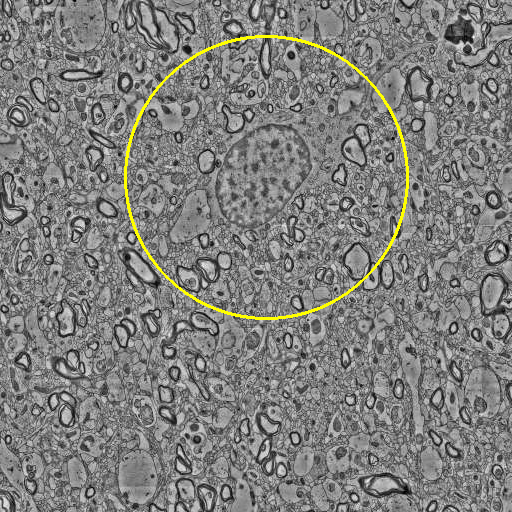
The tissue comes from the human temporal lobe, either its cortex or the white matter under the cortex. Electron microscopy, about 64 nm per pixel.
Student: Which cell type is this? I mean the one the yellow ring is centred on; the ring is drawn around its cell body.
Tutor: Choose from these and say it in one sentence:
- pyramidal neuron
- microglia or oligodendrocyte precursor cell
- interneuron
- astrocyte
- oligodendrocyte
The cell the ring is centred on is an oligodendrocyte.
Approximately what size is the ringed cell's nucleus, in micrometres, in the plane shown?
The nucleus works out at approximately 7 by 5 micrometres in this plane.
